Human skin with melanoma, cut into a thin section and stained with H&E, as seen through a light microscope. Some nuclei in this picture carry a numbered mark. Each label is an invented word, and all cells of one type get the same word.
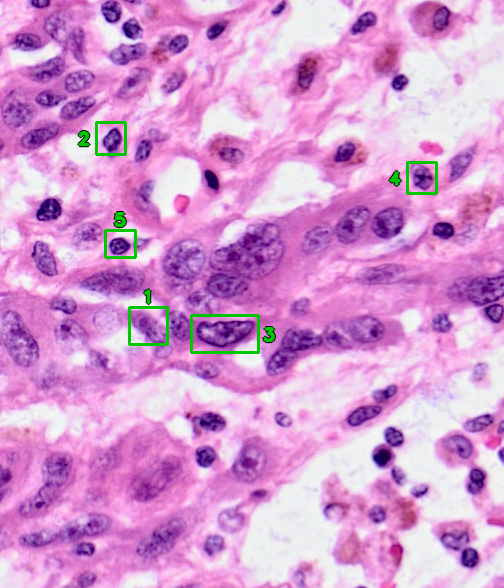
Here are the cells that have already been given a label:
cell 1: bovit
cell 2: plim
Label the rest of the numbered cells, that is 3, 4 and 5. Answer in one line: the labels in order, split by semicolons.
bovit; plim; plim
